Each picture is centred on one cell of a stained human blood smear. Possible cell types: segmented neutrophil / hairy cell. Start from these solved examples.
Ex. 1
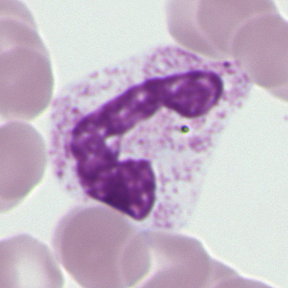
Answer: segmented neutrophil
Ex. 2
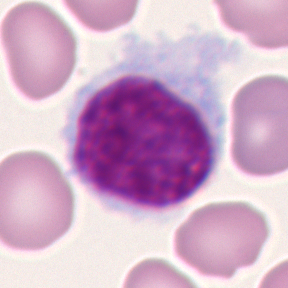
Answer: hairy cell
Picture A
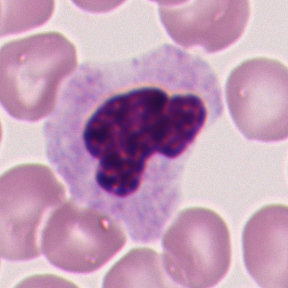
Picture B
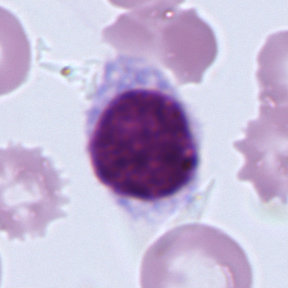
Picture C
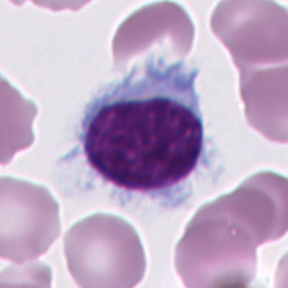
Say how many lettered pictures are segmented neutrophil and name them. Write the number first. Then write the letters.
1: A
